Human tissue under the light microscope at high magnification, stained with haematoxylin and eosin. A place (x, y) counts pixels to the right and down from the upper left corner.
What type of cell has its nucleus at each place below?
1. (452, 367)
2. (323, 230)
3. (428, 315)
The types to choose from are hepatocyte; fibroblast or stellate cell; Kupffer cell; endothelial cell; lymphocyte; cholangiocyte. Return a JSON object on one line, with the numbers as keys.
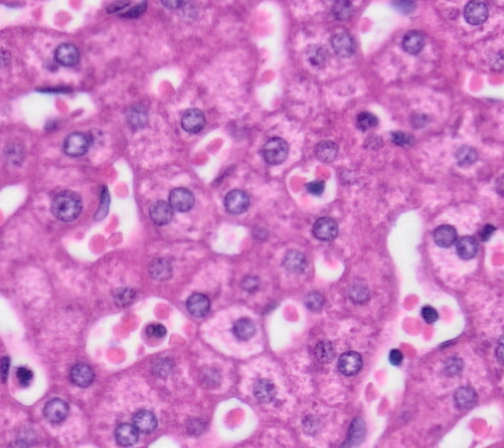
{"1": "hepatocyte", "2": "hepatocyte", "3": "lymphocyte"}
